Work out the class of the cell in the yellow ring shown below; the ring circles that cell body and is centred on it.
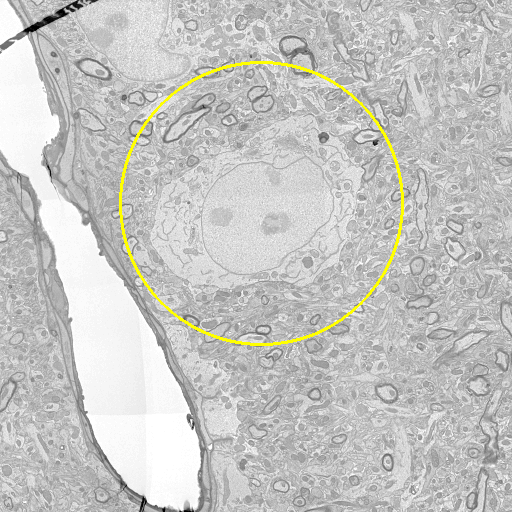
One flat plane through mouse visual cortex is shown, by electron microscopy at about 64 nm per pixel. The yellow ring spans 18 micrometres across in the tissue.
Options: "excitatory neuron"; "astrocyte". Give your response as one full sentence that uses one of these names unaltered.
The body ringed in yellow, right at the ring's centre, is that of an excitatory neuron.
